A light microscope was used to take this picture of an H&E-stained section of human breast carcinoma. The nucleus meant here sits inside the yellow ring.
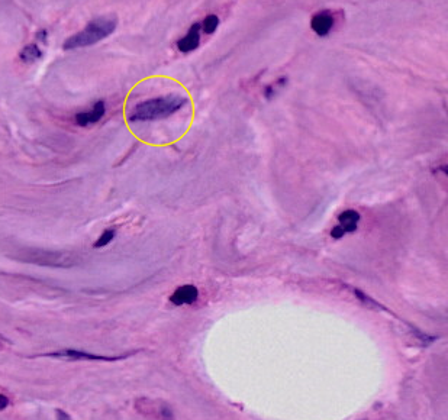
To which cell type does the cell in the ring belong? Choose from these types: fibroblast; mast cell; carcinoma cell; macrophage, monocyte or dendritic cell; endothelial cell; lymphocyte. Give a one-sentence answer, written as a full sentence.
The classification of the cell in the ring is as a fibroblast.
